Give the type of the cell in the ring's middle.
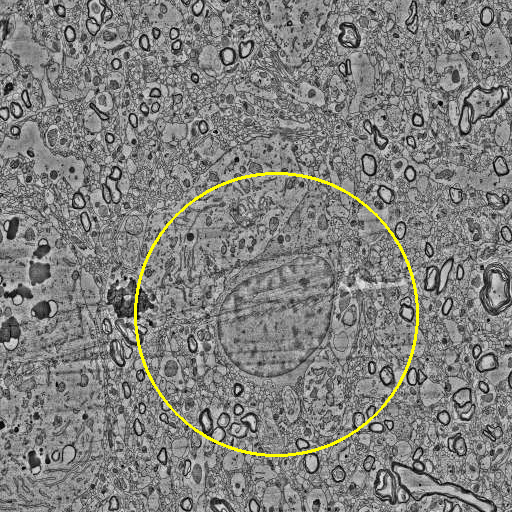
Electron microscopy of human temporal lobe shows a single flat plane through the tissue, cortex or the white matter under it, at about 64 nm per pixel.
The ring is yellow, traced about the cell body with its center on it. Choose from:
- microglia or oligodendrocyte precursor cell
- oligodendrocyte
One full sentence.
Here, an oligodendrocyte is the cell lying at the center of the yellow ring.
